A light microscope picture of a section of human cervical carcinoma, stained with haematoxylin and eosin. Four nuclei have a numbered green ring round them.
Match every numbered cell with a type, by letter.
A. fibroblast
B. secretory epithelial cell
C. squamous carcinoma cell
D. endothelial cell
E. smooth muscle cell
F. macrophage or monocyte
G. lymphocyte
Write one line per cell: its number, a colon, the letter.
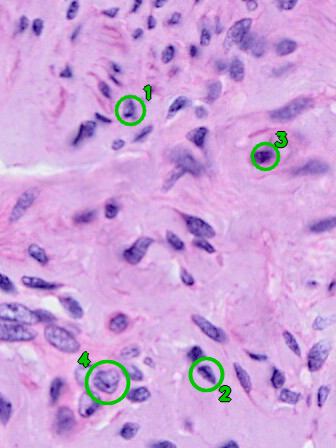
1: A
2: A
3: E
4: D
